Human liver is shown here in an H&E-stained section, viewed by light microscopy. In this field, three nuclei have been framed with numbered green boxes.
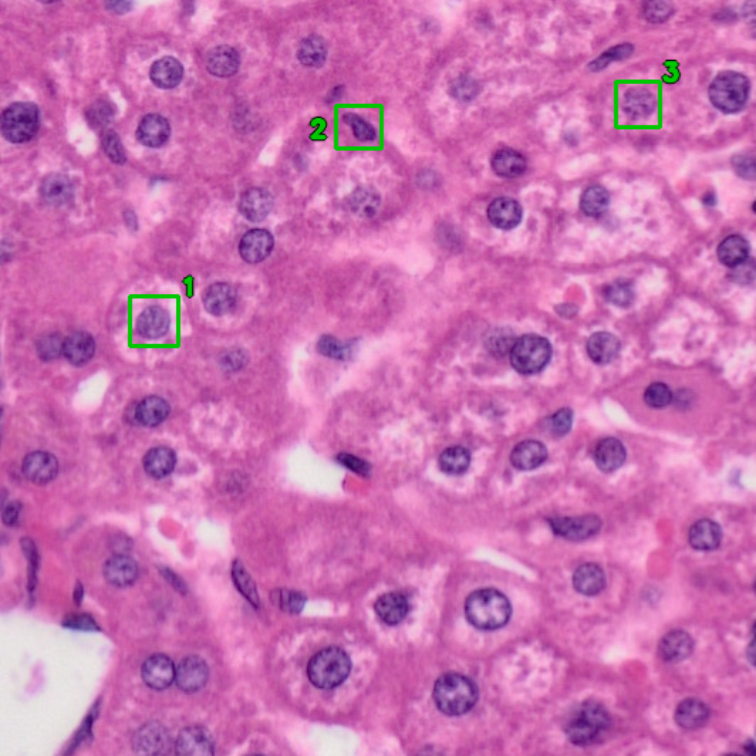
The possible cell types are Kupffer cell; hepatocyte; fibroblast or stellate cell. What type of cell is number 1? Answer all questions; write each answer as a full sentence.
The marked cell with the number 1 is recognised as a hepatocyte.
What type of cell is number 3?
The label 3 in this section denotes a hepatocyte.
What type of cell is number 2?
The cell tagged with 2 in this tissue section is a fibroblast or stellate cell.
